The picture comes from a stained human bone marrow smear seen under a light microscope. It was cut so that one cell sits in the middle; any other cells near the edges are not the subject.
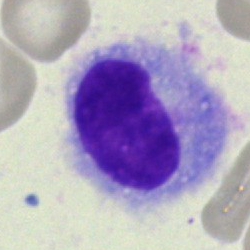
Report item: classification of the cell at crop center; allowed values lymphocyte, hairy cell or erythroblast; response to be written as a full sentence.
The cell featured at the centre of this crop is a hairy cell.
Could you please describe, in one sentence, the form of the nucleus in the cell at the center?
Please observe that the nucleus consists of one compact round, oval or kidney-shaped mass.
